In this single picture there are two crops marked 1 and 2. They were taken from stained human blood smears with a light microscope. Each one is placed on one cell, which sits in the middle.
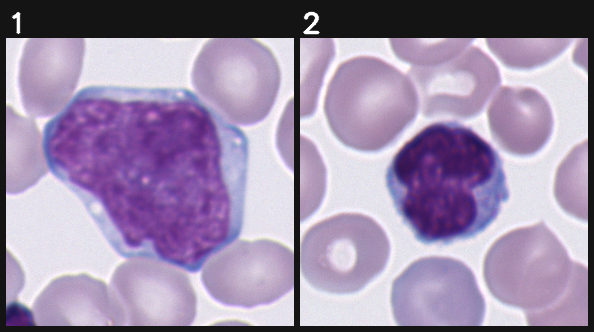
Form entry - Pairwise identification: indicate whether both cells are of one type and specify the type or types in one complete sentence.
No, the cell that crop 1 shows is a myeloblast, and the one crop 2 shows is a typical lymphocyte.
